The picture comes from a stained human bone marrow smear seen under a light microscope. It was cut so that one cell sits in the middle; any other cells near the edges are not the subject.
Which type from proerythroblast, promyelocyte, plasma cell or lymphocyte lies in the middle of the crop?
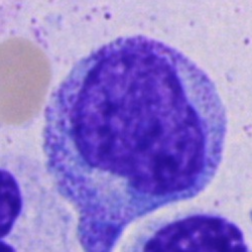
promyelocyte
